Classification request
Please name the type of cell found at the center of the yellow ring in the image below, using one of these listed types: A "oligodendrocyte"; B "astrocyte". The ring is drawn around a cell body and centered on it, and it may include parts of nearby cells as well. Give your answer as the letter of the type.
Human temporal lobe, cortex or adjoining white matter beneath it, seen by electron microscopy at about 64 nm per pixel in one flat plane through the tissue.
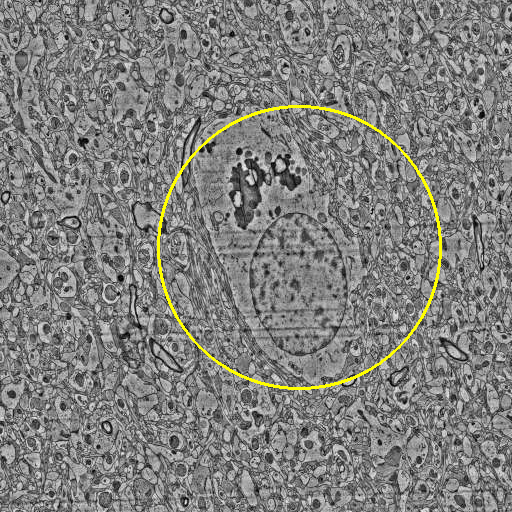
B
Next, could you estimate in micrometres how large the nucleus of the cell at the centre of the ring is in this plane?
In this plane the nucleus spans approximately 9 by 6 micrometers.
